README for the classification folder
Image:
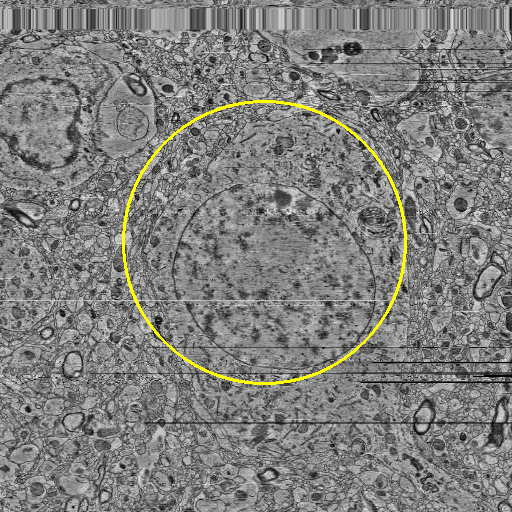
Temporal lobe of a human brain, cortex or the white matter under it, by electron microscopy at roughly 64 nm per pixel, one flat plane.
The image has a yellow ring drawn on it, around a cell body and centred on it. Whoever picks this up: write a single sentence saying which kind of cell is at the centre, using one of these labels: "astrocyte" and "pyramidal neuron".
This cell body is that of a pyramidal neuron.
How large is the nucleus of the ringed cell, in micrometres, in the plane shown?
The nucleus of the ringed cell is approximately 13 micrometres across in this plane.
